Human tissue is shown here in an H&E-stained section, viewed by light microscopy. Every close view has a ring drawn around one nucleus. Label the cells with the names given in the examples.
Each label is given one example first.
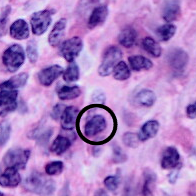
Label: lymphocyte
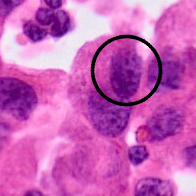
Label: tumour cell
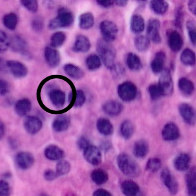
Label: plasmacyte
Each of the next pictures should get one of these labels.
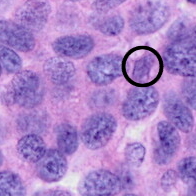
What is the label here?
tumour cell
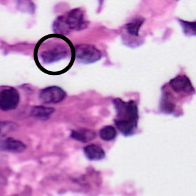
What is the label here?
tumour cell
